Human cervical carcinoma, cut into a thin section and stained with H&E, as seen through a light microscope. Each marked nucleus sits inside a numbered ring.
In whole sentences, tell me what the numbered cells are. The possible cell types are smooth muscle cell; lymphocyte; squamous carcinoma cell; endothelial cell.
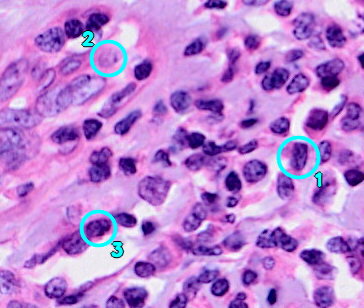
Cell 1 is a lymphocyte, cell 2 is an endothelial cell and cell 3 is a lymphocyte.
